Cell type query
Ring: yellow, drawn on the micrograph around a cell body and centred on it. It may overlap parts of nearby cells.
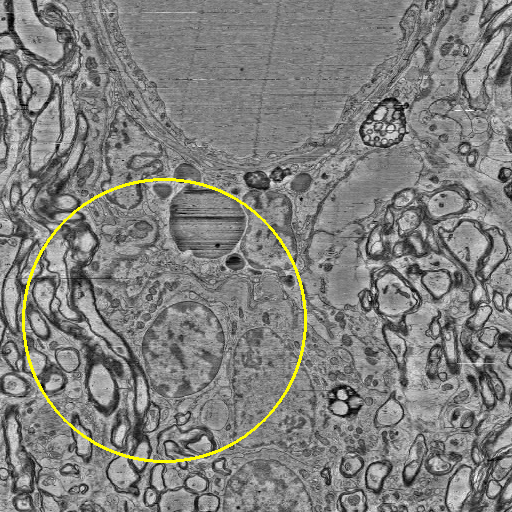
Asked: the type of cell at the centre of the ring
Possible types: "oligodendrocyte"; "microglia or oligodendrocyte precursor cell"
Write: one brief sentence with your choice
The ring marks a microglial cell or oligodendrocyte precursor cell.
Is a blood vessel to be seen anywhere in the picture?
Yes.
